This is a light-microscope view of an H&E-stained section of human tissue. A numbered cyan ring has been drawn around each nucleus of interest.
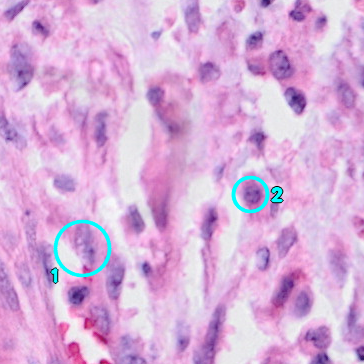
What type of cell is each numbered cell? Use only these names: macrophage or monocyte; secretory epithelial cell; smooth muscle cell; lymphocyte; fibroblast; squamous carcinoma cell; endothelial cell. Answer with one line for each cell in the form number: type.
1: endothelial cell
2: macrophage or monocyte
